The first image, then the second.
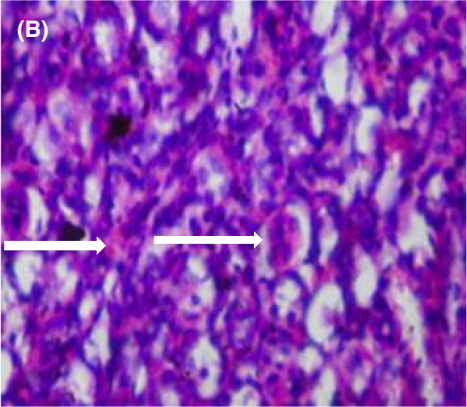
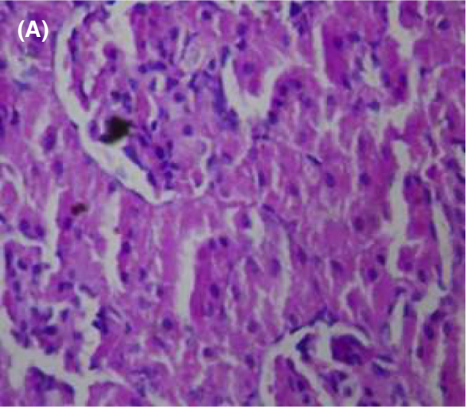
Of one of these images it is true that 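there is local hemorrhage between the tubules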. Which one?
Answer: The first image.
